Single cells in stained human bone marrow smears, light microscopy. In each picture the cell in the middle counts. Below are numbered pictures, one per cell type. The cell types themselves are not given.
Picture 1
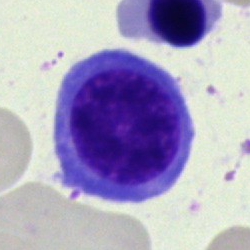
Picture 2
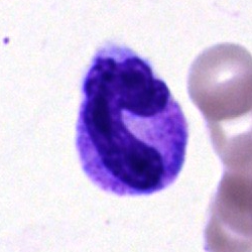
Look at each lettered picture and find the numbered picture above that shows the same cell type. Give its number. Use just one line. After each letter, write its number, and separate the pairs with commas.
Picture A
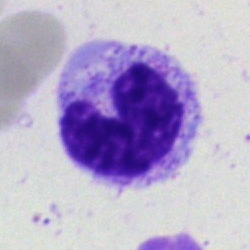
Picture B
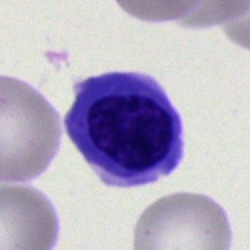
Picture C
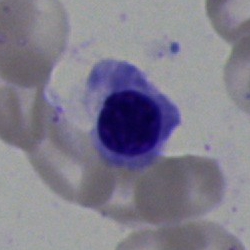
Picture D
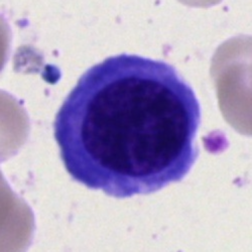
A 2, B 1, C 1, D 1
